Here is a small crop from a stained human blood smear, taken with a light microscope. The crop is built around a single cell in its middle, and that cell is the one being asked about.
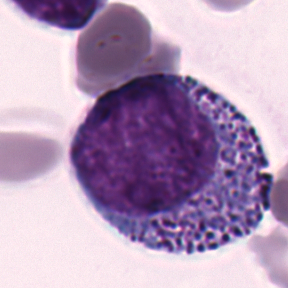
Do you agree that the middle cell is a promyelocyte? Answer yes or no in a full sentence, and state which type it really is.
Yes, the cell found in the center of the crop is a promyelocyte.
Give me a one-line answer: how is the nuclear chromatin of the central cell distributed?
The chromatin pattern is fine and free of coarse clumps.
